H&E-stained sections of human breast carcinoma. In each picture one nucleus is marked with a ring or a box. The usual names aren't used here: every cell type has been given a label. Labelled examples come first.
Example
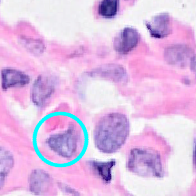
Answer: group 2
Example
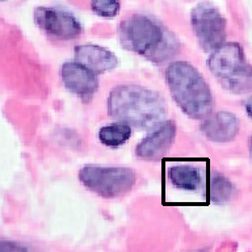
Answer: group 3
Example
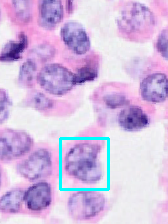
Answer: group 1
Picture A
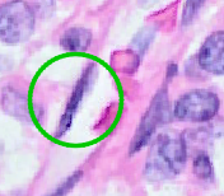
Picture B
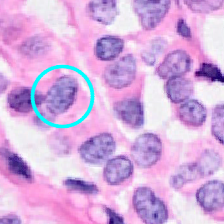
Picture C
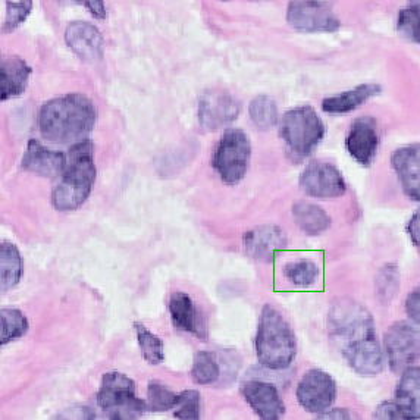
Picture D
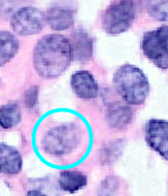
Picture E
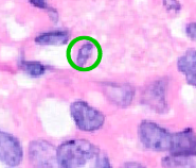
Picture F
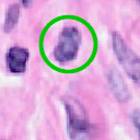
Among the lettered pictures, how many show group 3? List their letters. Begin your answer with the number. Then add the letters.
Count: 2 (C, F)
